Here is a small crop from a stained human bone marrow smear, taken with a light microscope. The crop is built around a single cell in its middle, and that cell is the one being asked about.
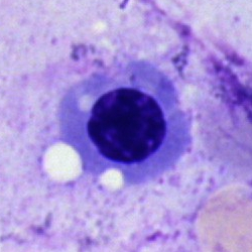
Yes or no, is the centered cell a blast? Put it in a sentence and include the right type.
No, the cell at the centre is an erythroblast, which rules out a blast.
